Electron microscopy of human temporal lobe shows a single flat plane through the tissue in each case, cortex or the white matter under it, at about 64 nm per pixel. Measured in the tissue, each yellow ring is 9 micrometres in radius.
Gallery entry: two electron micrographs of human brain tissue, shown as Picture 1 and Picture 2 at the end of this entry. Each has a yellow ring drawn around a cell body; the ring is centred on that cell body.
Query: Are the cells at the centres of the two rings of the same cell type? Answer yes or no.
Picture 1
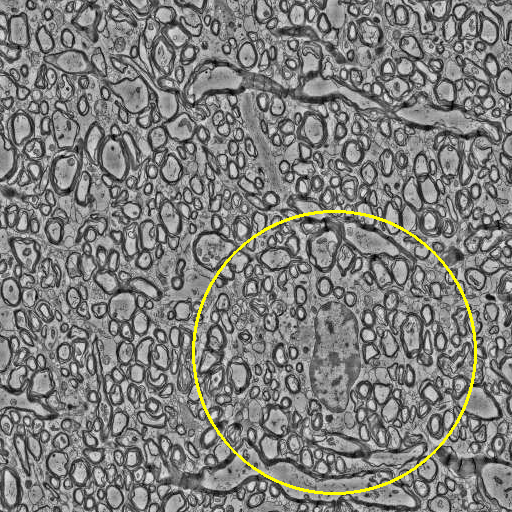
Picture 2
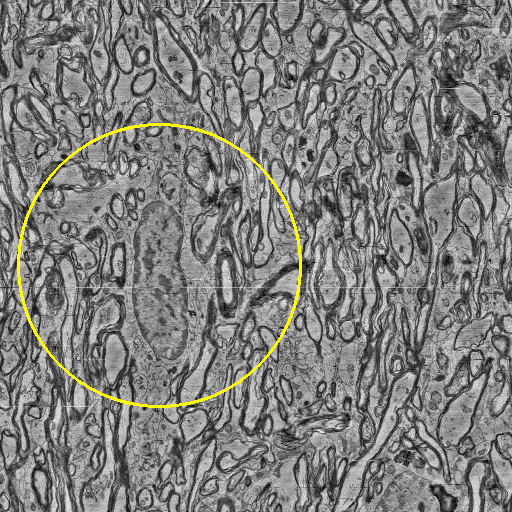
yes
